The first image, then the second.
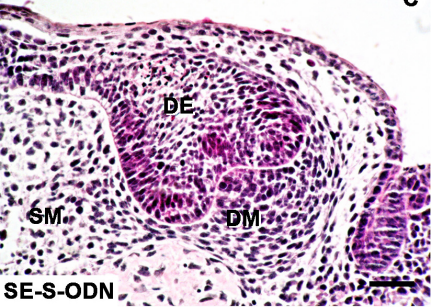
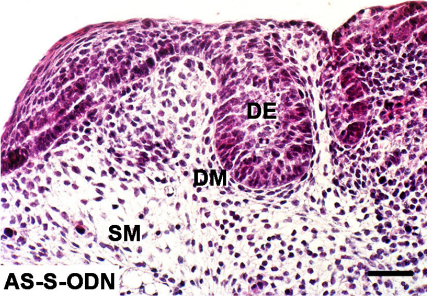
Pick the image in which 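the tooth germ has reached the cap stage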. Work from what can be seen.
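Second image: the epithelial downgrowth is a rounded bud without a concave deep surface. First image: the epithelial downgrowth is wider and curves around condensed mesenchyme at its deep end.
Conclusion: the first image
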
